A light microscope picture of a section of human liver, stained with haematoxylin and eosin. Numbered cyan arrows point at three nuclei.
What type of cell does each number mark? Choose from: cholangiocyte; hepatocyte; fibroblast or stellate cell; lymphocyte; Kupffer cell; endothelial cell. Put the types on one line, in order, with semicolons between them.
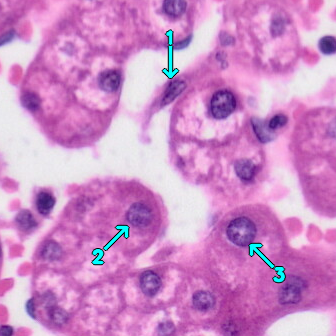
Kupffer cell; hepatocyte; hepatocyte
